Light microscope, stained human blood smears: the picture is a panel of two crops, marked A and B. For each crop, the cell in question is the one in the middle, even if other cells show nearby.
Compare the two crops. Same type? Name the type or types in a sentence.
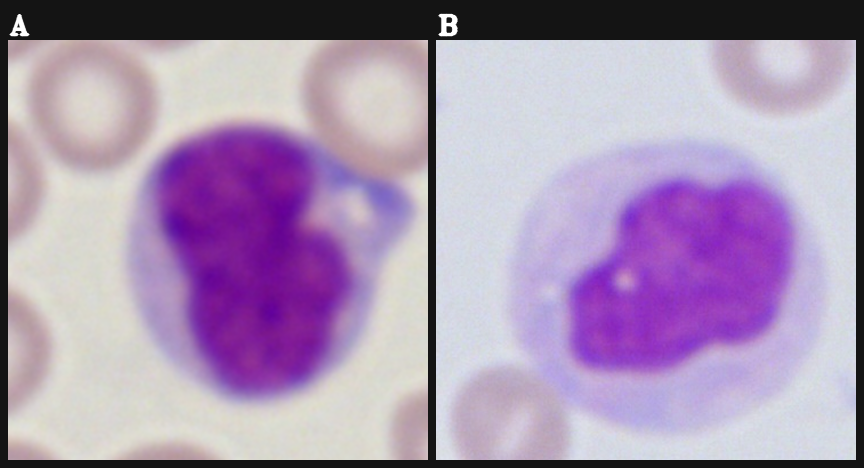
Yes, both crops here show monocytes, the pair of them.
